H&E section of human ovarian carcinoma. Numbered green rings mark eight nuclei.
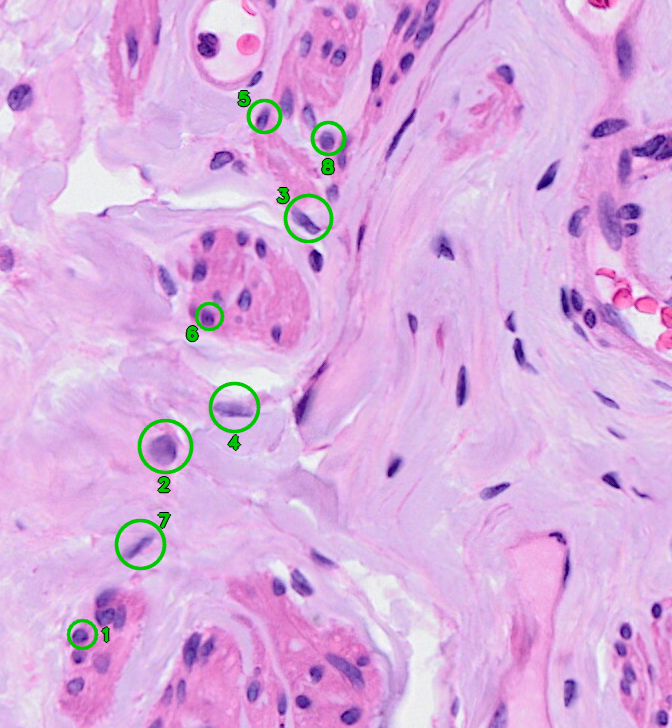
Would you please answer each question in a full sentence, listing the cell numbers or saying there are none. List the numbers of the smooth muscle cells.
The cells marked 1, 5, 6 and 8 in the section are smooth muscle cells.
